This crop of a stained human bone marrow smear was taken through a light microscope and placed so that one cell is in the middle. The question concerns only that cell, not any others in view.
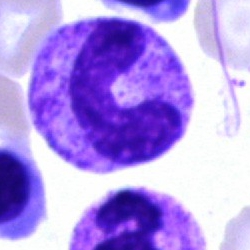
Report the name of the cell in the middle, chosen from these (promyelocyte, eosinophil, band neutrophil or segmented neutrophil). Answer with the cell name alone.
band neutrophil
